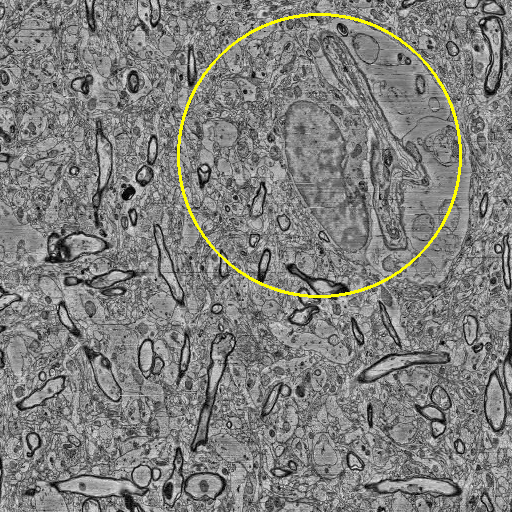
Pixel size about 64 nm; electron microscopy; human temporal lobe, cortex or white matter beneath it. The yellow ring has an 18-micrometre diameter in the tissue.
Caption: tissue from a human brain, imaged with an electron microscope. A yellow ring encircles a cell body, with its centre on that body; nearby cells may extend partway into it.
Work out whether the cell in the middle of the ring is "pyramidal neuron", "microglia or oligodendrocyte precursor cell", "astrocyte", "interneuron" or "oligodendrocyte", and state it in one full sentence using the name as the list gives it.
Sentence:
In the picture, the cell that the yellow ring surrounds at its centre is an oligodendrocyte.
